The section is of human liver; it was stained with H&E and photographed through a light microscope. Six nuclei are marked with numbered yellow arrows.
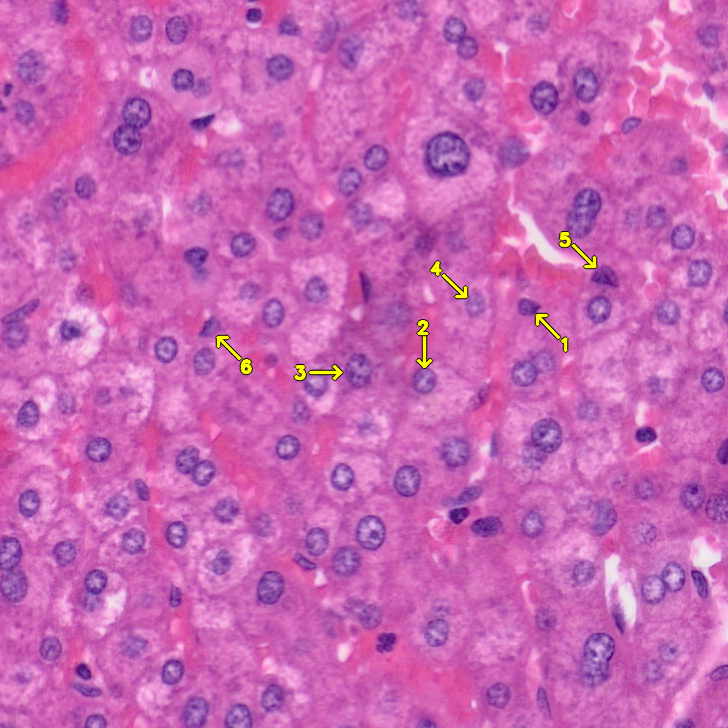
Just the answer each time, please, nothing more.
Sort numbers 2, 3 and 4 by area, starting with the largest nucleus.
3, 2, 4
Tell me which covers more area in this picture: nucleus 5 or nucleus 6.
5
